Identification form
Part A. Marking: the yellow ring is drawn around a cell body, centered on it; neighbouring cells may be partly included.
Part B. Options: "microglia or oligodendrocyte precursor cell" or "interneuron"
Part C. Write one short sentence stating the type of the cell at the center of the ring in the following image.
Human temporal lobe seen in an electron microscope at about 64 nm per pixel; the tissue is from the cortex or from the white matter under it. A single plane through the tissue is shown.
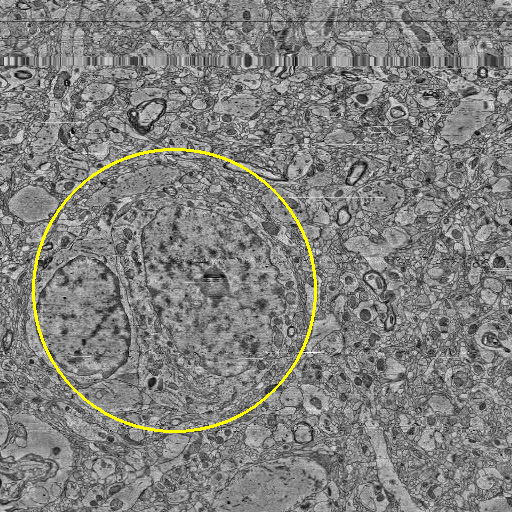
The center of the ring holds an interneuron.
